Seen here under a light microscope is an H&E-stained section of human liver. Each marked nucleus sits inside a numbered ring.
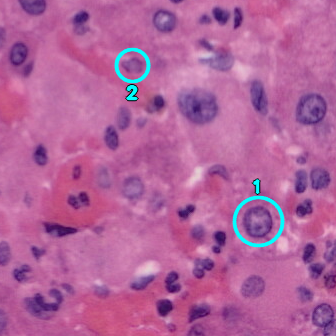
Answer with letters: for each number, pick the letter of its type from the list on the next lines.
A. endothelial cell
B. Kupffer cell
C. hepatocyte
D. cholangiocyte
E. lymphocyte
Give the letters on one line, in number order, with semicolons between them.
C; B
